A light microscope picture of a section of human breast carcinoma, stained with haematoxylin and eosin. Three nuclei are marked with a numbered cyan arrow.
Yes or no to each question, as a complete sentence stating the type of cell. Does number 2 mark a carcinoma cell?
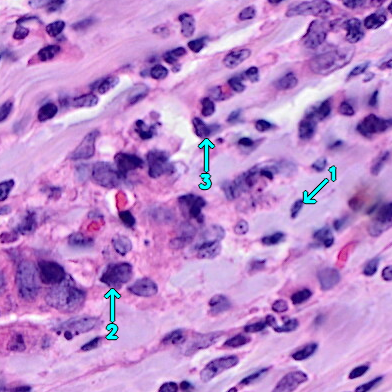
Yes, it is a carcinoma cell that number 2 identifies.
